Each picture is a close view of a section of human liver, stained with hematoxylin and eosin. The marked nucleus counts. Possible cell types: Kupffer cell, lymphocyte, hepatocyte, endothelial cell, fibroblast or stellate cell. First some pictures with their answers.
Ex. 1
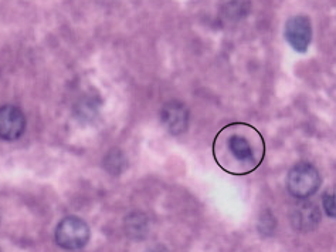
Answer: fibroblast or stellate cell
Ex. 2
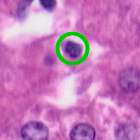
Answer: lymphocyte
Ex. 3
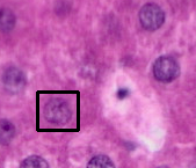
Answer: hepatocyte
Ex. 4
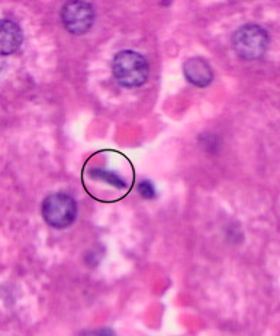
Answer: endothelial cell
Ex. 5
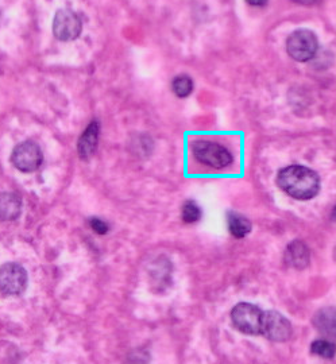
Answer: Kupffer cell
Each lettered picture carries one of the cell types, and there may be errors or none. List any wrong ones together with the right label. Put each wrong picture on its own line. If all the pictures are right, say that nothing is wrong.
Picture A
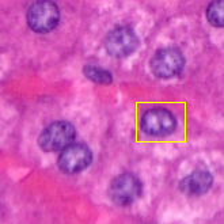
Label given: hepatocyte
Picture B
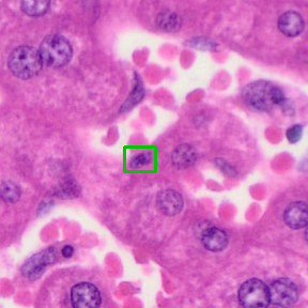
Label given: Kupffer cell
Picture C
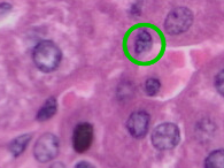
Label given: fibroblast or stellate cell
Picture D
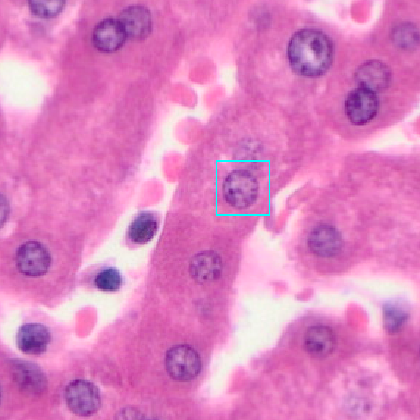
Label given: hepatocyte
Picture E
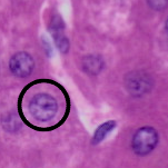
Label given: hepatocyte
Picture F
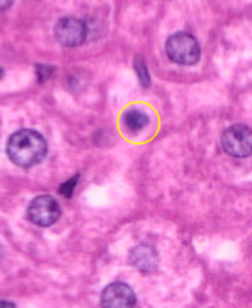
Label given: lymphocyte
Wrong: B (Kupffer cell); correct: fibroblast or stellate cell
